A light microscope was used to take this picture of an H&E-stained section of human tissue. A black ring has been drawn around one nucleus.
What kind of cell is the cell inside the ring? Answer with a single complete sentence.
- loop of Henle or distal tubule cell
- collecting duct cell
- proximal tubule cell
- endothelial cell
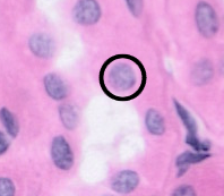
The cell inside the ring is a loop of Henle or distal tubule cell.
